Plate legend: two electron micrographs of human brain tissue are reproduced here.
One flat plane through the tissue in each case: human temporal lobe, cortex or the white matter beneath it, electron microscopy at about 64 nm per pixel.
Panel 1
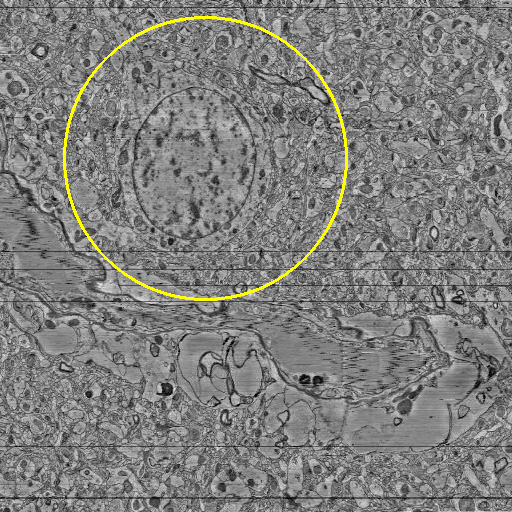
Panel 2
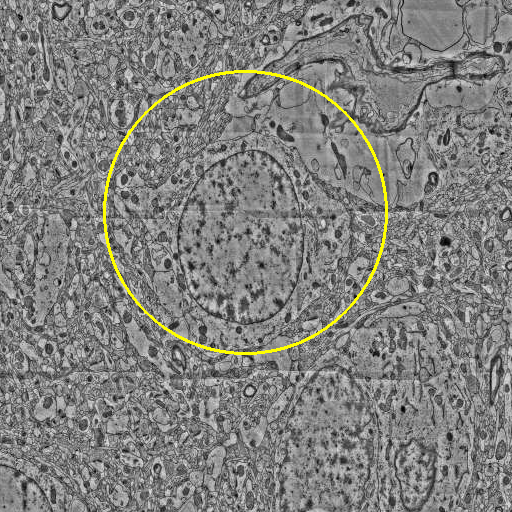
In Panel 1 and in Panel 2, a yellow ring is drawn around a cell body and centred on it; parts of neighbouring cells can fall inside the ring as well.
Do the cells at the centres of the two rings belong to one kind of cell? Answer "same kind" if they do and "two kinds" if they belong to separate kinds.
same kind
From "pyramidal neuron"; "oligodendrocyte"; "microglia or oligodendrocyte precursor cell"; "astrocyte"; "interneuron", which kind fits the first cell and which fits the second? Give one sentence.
In both pictures the ring is centred on a pyramidal neuron.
